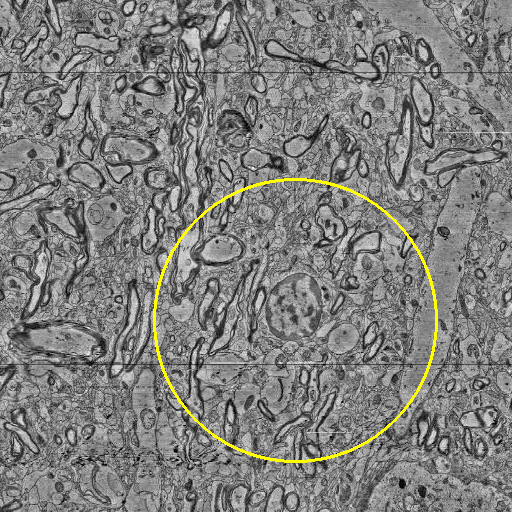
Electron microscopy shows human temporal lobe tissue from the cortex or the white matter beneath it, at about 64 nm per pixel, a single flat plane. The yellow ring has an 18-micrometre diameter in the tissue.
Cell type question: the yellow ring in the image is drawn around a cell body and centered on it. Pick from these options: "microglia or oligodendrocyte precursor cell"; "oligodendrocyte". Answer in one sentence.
The ringed cell at the center is a microglial cell or oligodendrocyte precursor cell.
